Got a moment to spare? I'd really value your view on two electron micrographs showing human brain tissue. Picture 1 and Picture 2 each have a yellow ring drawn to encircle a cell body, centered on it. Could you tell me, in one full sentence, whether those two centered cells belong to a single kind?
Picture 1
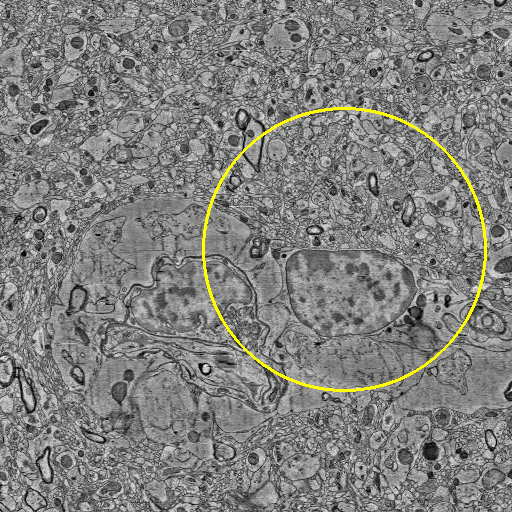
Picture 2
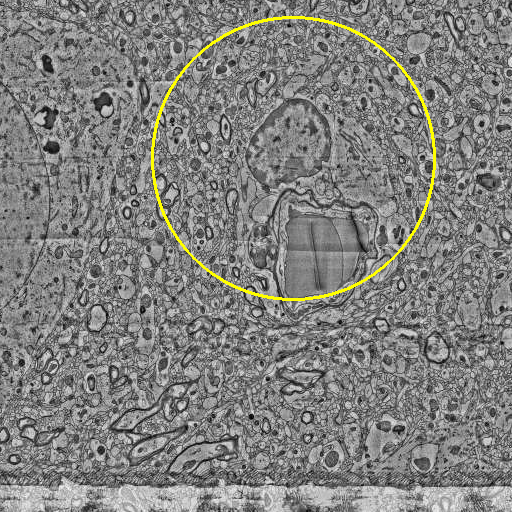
Yes, the two centered cells in Picture 1 and Picture 2 are of a single kind.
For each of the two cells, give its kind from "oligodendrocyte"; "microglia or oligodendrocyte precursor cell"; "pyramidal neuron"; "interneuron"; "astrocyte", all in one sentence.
In each of the two pictures, the ringed cell is a microglial cell or oligodendrocyte precursor cell.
